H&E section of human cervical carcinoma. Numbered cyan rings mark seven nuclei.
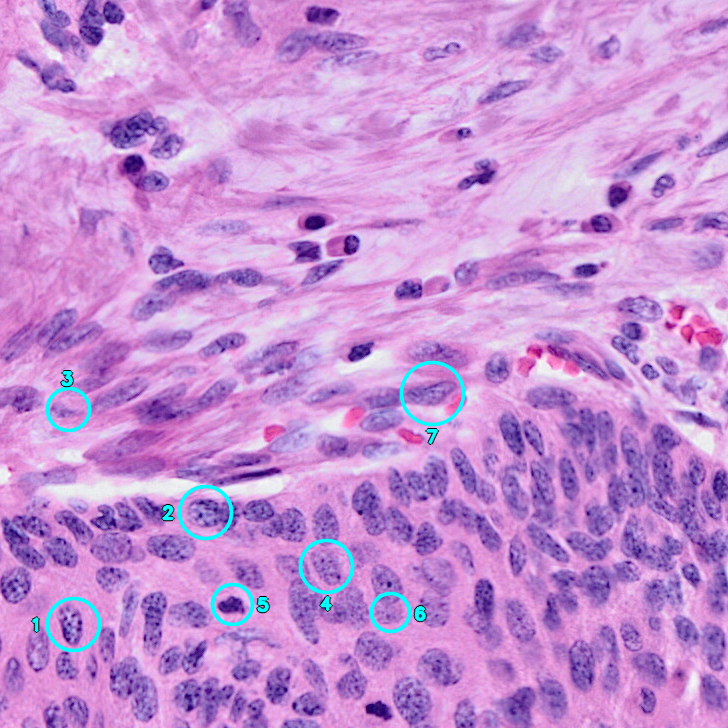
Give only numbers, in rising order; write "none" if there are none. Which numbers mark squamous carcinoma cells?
1, 2, 4, 6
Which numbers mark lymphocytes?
5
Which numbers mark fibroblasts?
3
